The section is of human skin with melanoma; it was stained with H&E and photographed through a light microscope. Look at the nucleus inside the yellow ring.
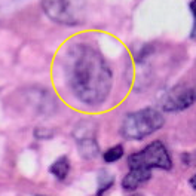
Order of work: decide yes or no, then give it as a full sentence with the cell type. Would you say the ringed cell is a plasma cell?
No, the ringed cell is not to be called a plasma cell; it is a melanoma cell.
